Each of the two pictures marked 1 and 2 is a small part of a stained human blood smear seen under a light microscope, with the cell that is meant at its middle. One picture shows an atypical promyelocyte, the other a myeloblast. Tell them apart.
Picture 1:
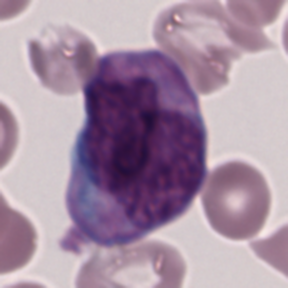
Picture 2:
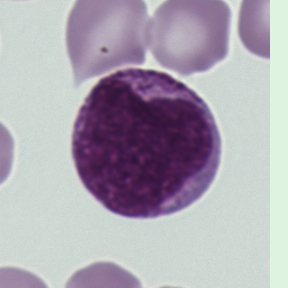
1: atypical promyelocyte
2: myeloblast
